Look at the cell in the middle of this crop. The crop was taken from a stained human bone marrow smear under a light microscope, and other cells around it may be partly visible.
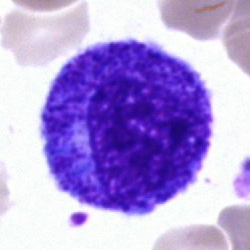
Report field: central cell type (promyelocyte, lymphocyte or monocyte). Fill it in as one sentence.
The cell at the middle of the frame should be recorded as a promyelocyte.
